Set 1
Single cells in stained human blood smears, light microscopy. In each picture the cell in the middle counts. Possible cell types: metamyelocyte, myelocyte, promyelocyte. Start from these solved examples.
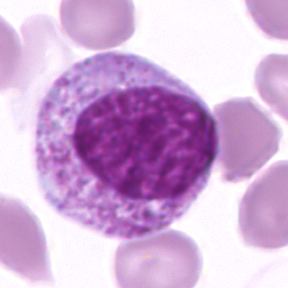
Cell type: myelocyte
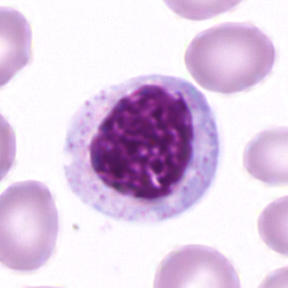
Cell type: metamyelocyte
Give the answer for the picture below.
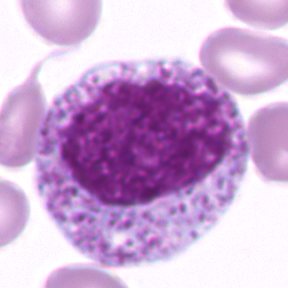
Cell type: myelocyte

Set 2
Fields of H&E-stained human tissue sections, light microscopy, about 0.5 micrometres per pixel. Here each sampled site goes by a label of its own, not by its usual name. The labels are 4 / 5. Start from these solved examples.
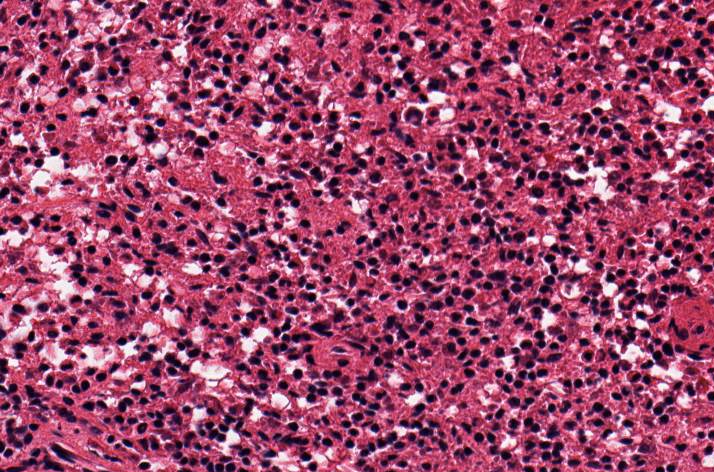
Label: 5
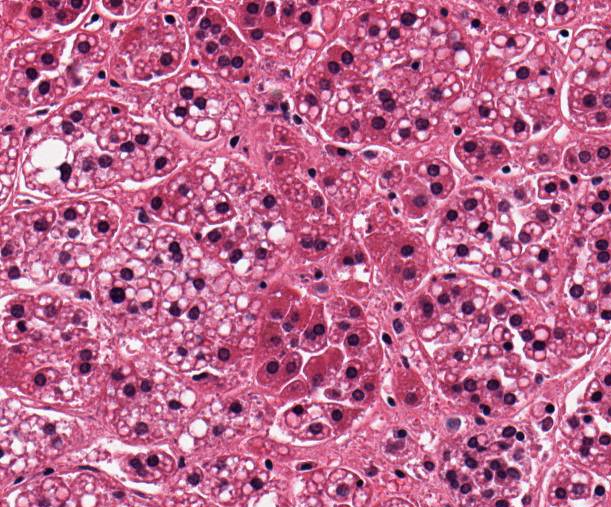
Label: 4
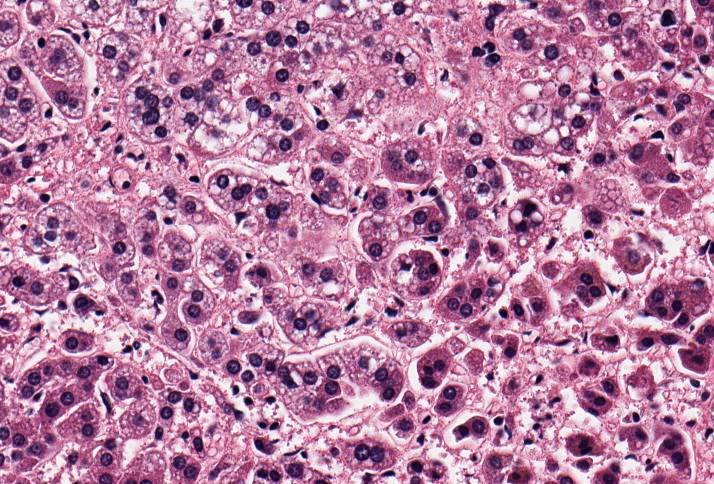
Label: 4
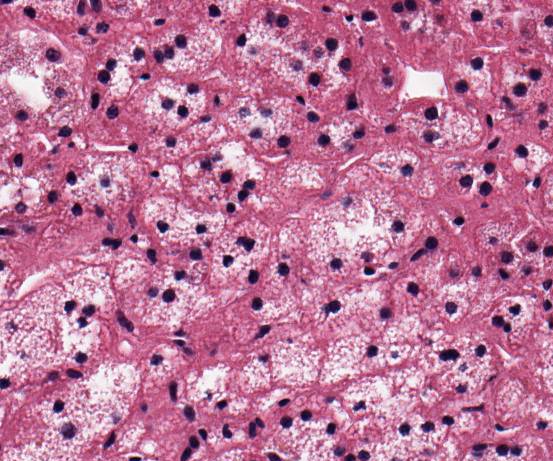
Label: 4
